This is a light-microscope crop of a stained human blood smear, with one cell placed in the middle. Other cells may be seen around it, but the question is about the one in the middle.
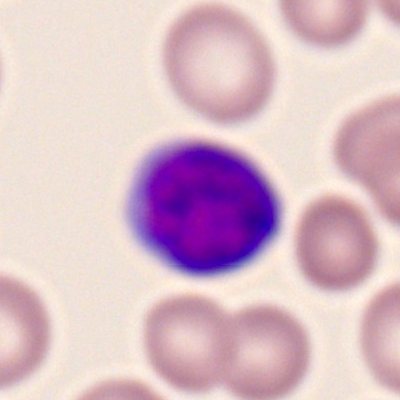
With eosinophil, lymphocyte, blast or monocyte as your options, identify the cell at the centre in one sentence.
The crop centres on a single cell, and that cell is a lymphocyte.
